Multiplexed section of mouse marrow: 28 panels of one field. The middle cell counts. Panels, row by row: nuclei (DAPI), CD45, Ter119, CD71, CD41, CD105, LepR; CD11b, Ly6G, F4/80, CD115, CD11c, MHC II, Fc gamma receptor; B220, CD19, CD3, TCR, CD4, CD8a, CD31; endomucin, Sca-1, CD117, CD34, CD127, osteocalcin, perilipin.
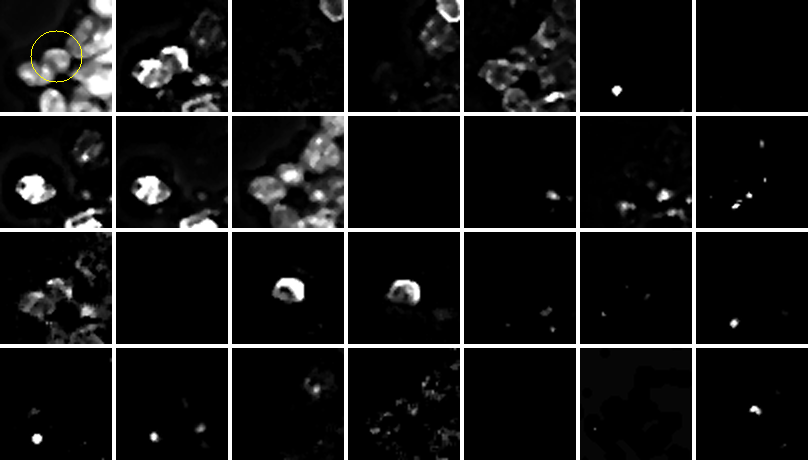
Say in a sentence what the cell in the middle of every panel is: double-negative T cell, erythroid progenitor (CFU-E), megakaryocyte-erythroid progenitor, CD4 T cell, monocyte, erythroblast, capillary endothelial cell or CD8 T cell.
This is a double-negative T cell.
